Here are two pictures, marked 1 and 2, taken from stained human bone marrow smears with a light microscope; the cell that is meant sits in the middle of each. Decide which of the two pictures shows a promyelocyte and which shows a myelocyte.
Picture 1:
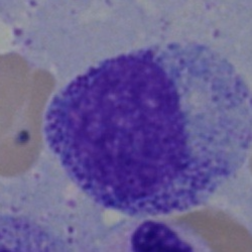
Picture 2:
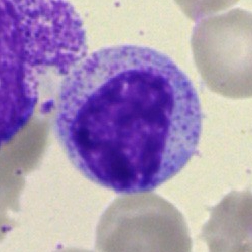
1: promyelocyte
2: myelocyte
